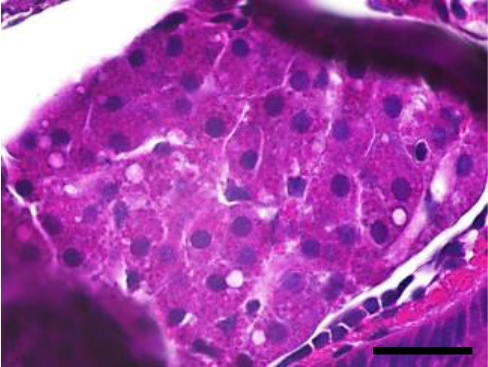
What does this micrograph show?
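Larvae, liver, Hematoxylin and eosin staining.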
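Nuclei are round and dark purple, spaced fairly regularly through the tissue. Only a few small clear round vacuoles are scattered in the cytoplasm. Thin pale borders and narrow channels separate groups of cells. A dark band of adjacent tissue curves along the upper right edge.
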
